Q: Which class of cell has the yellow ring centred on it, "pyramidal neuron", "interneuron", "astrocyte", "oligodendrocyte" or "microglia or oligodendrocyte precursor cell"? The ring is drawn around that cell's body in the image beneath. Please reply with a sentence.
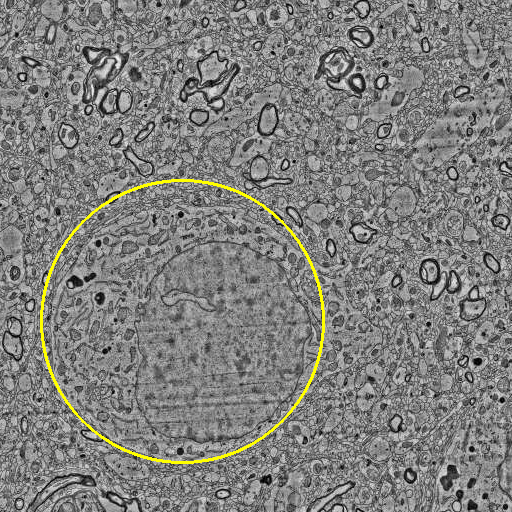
It is centred on an interneuron.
